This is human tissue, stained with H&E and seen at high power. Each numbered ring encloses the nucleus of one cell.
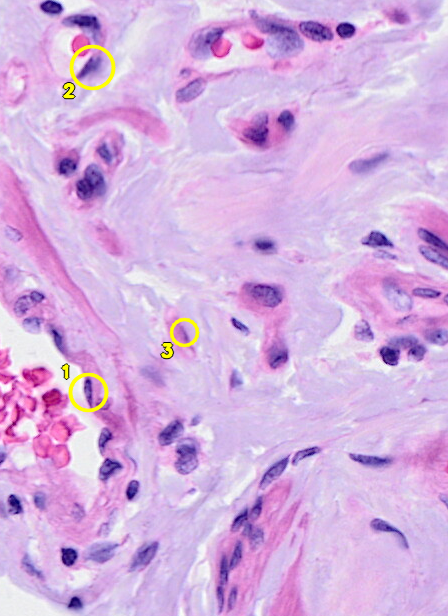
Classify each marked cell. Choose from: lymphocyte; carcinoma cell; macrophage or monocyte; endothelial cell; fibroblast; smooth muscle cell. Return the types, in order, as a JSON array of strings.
["endothelial cell", "endothelial cell", "smooth muscle cell"]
